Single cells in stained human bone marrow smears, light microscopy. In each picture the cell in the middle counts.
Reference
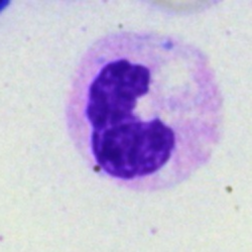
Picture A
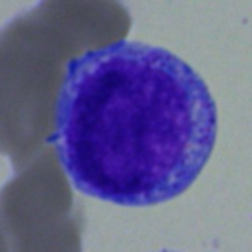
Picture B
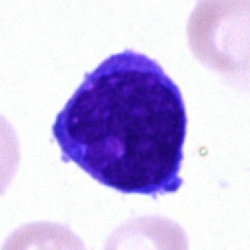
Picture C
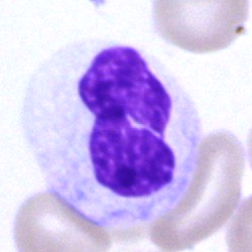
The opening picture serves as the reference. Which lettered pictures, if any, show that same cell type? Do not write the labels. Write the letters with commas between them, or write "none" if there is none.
C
